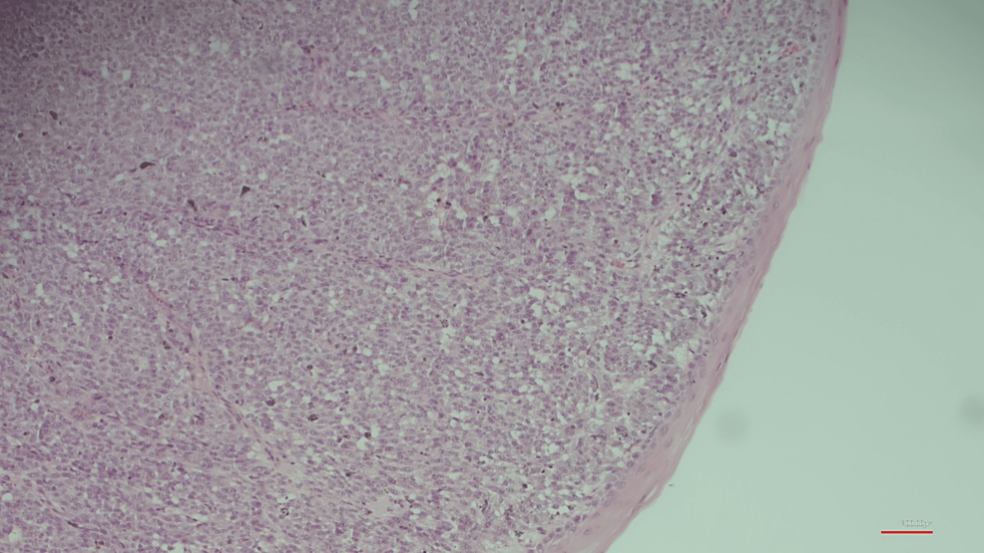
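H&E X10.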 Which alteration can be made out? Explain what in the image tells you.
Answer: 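Finely granular pigment. Small dark brown-black specks are scattered among the cells. The dark specks occur across the whole field, not in one spot.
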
